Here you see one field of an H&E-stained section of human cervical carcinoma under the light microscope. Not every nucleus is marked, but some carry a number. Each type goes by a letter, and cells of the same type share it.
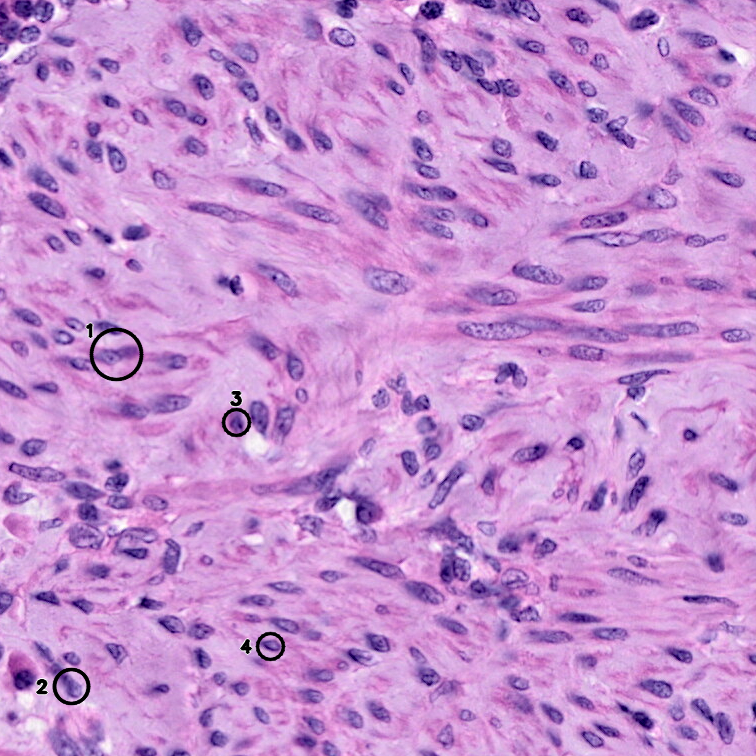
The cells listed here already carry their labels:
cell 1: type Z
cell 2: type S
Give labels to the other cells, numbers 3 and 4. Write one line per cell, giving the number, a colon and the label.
3: type Z
4: type Z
